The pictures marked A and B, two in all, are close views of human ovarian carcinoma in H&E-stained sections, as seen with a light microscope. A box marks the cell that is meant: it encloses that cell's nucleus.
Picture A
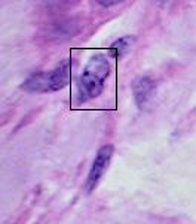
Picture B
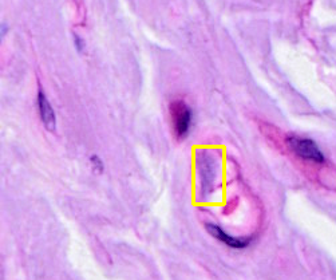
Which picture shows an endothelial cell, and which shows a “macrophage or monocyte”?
A: macrophage or monocyte
B: endothelial cell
